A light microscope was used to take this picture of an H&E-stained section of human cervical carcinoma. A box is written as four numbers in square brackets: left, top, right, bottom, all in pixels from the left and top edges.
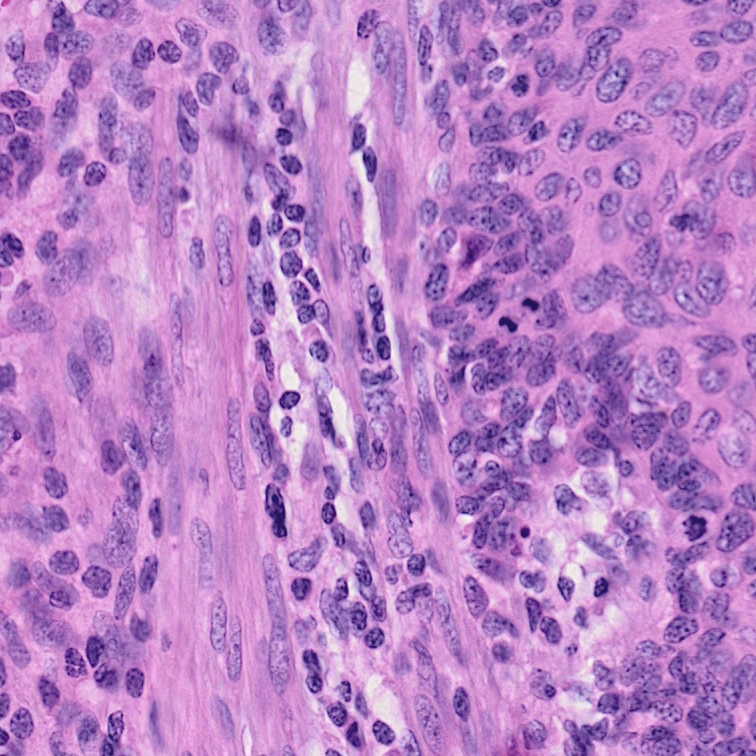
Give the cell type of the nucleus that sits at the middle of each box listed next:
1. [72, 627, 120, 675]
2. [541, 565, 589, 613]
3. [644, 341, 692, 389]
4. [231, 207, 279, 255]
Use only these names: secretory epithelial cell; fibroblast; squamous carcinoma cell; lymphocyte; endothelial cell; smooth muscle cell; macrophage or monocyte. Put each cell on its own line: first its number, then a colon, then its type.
1: lymphocyte
2: lymphocyte
3: squamous carcinoma cell
4: lymphocyte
